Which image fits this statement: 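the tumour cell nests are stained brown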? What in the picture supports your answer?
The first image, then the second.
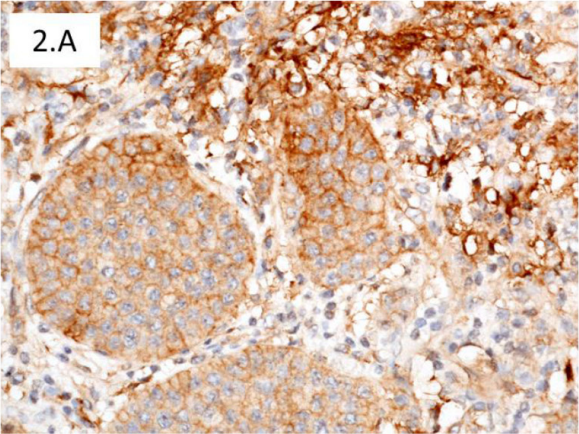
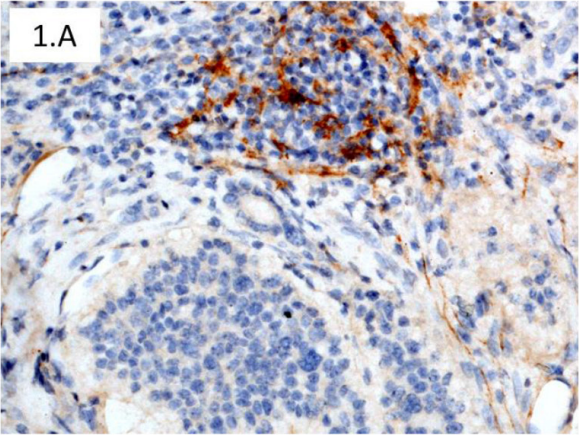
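First image: the rounded nests of tumour cells are stained light to moderate brown along their cell borders.
Answer: the first image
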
